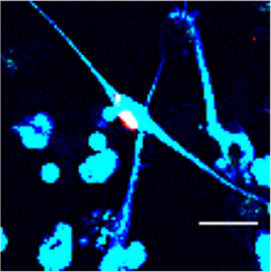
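Thin cyan-blue fibres cross the field, meeting and branching where a cell body sits at a junction, and some thicken into ribbons near cells. Bright blue irregular nuclei lie scattered around and along the fibres. Small red dots sit on the fibres, most clearly at the junction, decorating the strands rather than lying free. The fibres are far longer than the cells and link several of them together.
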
